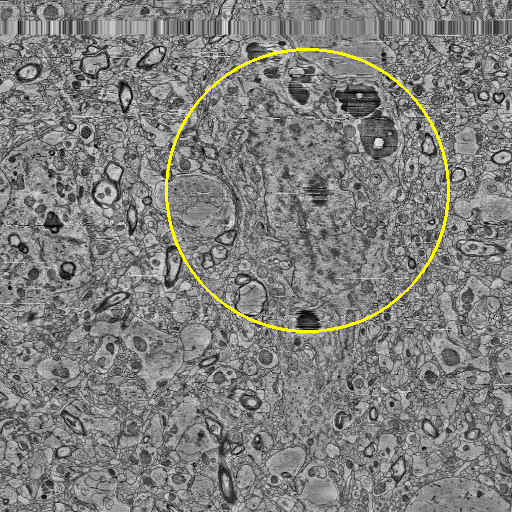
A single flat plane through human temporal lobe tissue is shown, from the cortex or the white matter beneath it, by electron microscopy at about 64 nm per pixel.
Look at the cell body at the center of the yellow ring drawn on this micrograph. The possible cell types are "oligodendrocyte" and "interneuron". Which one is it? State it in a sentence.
The cell in the middle of the ring is an interneuron.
